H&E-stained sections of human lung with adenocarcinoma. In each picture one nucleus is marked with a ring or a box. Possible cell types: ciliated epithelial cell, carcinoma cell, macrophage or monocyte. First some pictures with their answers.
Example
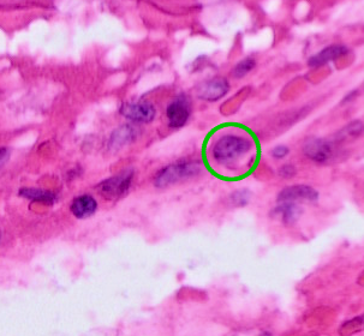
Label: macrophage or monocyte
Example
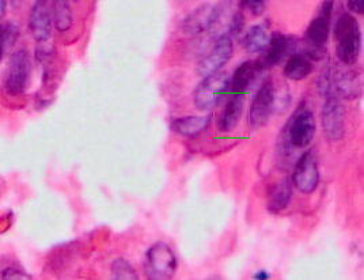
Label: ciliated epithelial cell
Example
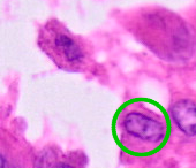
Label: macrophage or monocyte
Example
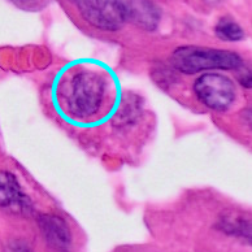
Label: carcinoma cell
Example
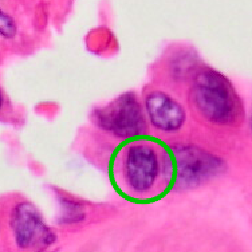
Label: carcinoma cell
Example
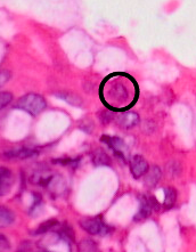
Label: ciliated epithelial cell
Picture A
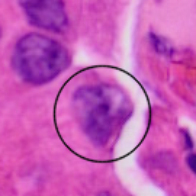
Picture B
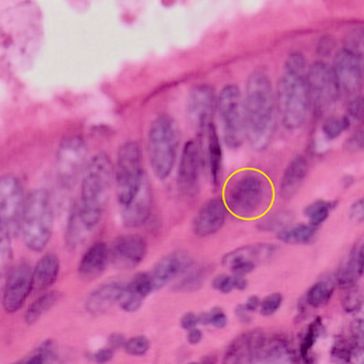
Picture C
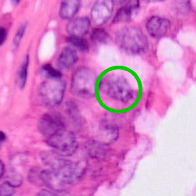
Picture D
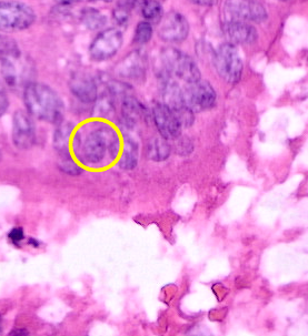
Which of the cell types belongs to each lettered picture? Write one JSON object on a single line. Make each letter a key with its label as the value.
{"A": "carcinoma cell", "B": "ciliated epithelial cell", "C": "ciliated epithelial cell", "D": "ciliated epithelial cell"}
